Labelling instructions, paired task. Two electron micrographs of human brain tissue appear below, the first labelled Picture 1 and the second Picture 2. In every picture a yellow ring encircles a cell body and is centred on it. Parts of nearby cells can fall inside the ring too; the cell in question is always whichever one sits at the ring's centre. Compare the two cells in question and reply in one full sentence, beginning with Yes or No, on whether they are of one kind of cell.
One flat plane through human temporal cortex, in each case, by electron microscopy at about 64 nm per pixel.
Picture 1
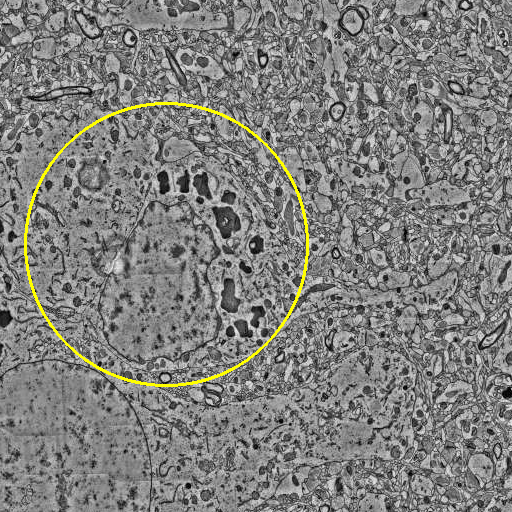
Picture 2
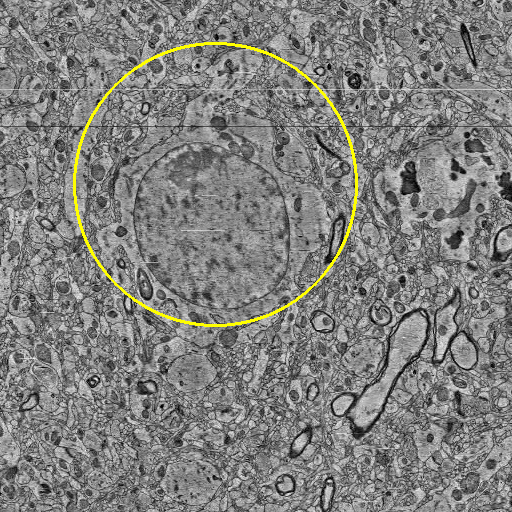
No, the two cells at the ring centres in Picture 1 and Picture 2 are of two kinds.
